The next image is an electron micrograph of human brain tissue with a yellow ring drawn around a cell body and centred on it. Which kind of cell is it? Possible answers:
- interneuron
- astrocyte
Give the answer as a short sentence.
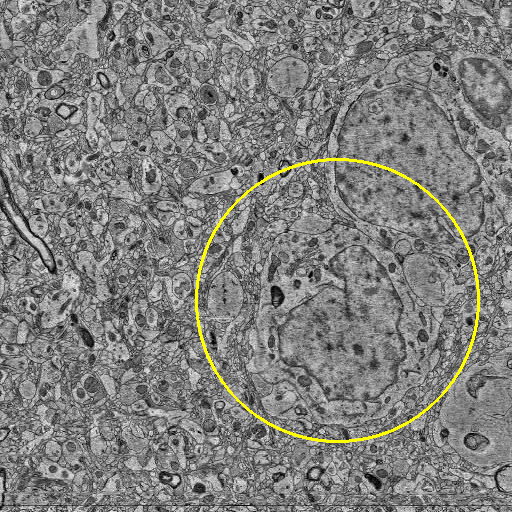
In the ring's centre is an interneuron.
